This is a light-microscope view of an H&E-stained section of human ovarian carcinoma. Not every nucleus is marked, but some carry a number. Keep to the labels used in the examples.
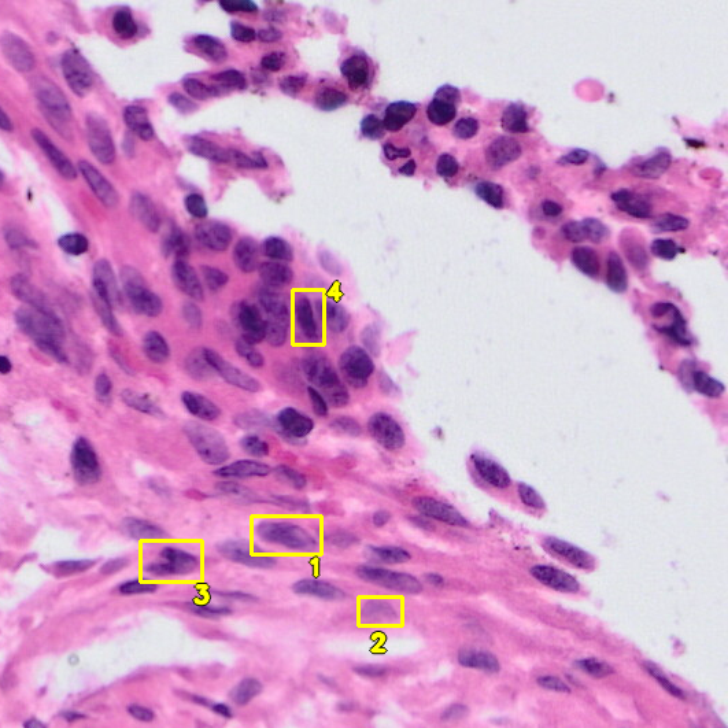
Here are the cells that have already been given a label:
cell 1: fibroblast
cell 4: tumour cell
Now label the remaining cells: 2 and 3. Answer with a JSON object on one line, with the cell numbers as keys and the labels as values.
{"2": "fibroblast", "3": "fibroblast"}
